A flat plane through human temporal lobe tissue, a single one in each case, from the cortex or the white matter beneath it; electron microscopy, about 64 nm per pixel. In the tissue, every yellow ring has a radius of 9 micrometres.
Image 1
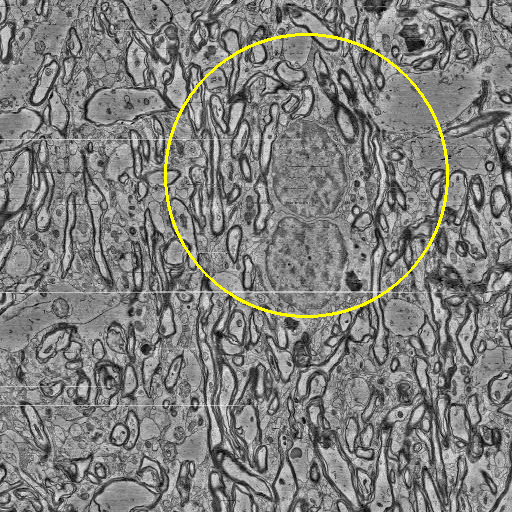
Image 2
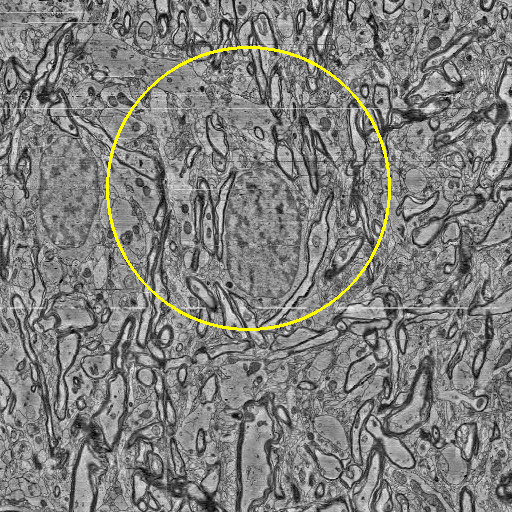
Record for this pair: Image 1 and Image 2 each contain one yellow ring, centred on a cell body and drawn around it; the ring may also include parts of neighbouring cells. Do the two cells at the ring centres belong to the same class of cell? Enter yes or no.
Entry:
yes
